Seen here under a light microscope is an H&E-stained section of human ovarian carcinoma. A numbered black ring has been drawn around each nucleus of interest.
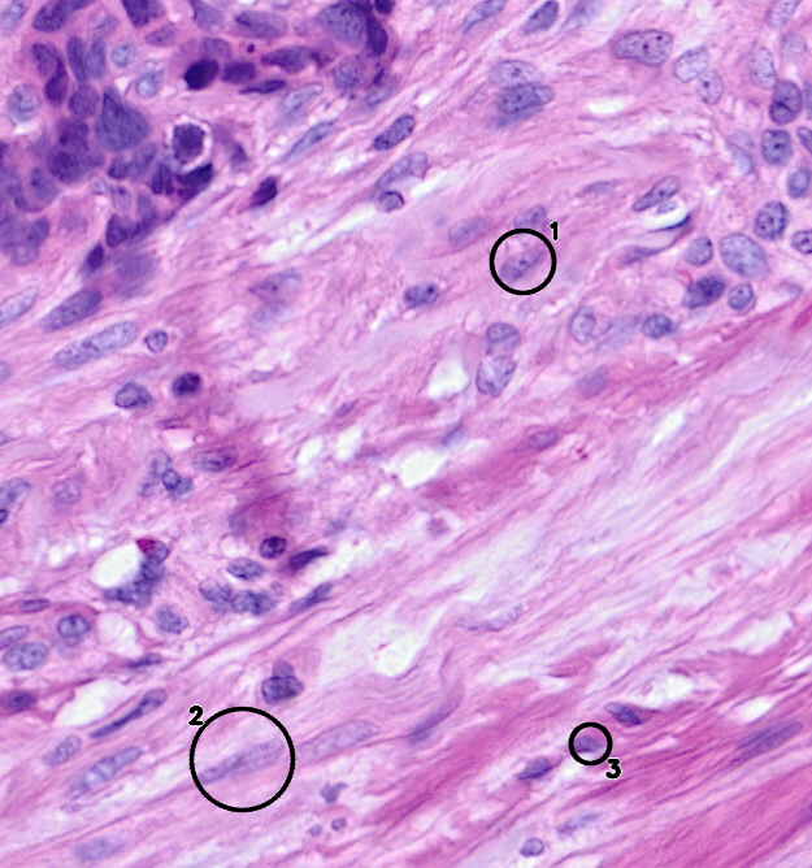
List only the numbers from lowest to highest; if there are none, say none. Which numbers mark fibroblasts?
1, 2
